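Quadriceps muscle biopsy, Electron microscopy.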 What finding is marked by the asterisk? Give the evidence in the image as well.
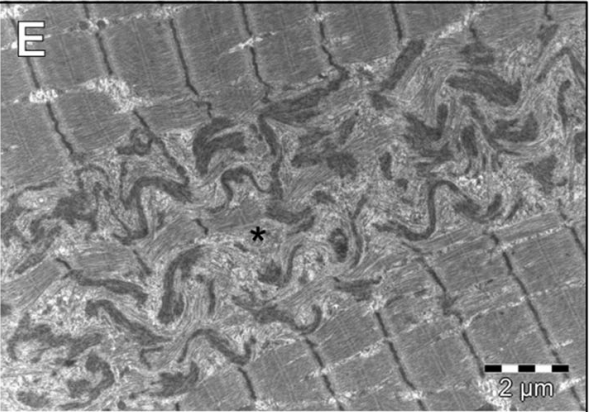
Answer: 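Around the asterisk the regular sarcomere pattern is lost. Wavy, streaming dark electron-dense bands lie among disordered filaments. Regular cross-striations persist at the edges of the panel.
Cores containing abundant electrodense smeared material.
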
